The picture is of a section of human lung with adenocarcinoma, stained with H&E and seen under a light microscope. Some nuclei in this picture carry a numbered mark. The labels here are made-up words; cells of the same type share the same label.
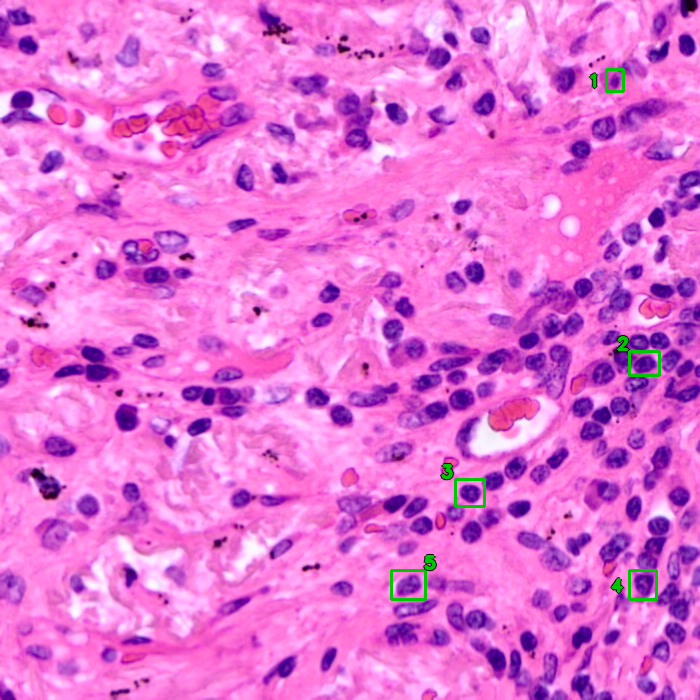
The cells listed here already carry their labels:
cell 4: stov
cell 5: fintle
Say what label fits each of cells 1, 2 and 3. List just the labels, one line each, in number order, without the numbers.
stov
fintle
fintle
